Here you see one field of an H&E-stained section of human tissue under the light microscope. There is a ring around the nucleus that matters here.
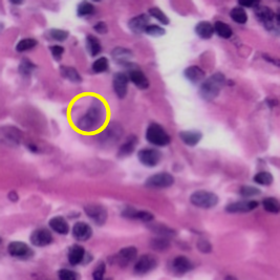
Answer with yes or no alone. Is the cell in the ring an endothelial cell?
yes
